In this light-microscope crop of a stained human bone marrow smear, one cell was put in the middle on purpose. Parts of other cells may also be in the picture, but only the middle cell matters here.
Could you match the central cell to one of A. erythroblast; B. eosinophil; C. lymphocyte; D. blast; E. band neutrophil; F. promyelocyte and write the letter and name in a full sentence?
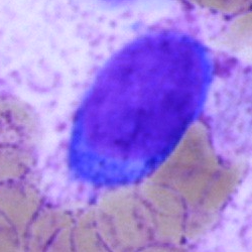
The correct identification, given in option D, is that the central cell is a blast.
